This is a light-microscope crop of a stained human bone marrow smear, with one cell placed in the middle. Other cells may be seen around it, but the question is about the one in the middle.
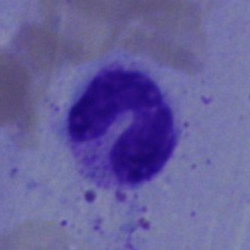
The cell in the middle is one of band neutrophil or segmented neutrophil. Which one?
band neutrophil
